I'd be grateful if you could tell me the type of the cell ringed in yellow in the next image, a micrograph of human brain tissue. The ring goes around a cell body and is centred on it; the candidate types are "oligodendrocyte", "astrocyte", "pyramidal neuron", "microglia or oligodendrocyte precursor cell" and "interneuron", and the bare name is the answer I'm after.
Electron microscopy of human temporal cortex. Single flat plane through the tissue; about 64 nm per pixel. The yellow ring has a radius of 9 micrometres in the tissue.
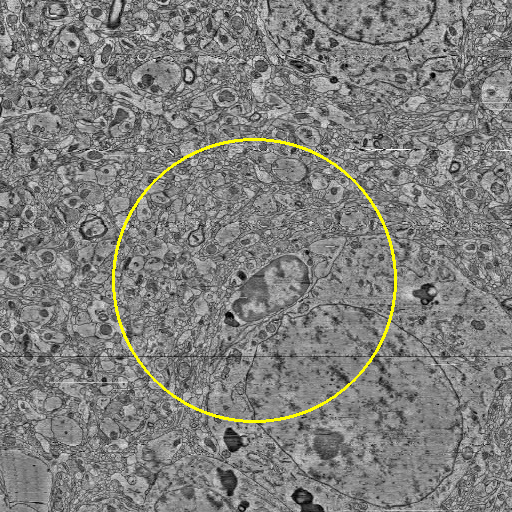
microglia or oligodendrocyte precursor cell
